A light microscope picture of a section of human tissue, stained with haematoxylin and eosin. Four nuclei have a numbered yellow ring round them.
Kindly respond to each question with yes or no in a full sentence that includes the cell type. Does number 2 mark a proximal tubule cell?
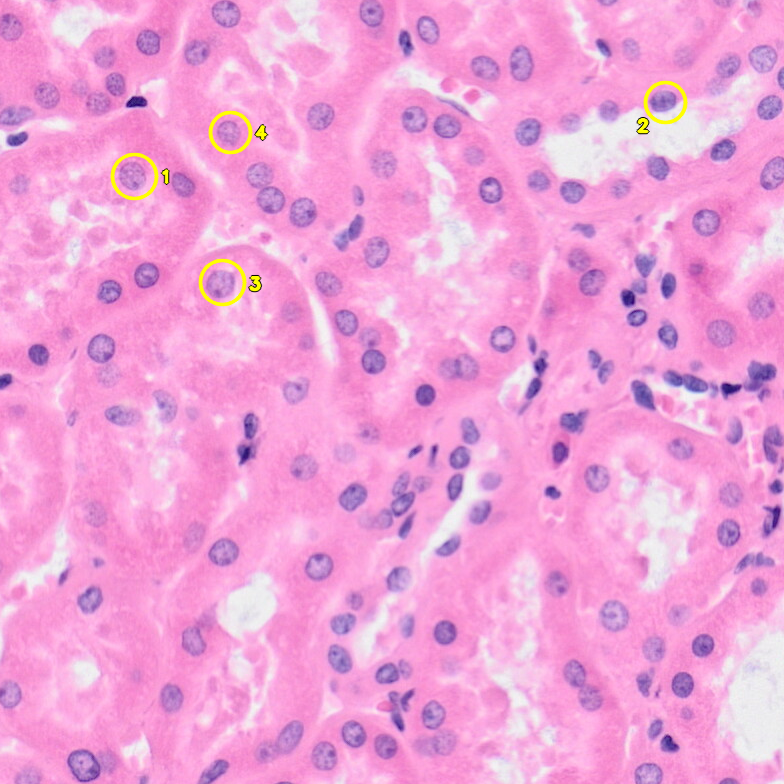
No, the cell marked 2 is a loop of Henle or distal tubule cell rather than a proximal tubule cell.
